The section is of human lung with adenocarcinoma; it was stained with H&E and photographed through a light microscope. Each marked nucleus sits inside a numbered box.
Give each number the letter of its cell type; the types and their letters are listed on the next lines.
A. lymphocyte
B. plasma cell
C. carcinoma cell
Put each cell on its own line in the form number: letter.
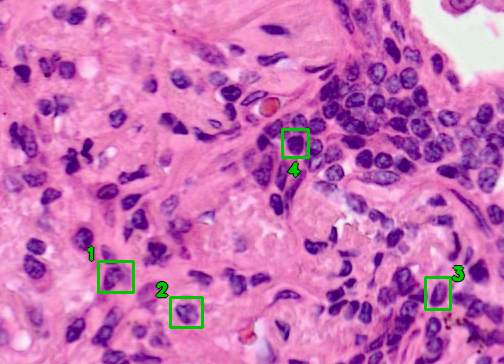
1: B
2: A
3: A
4: A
